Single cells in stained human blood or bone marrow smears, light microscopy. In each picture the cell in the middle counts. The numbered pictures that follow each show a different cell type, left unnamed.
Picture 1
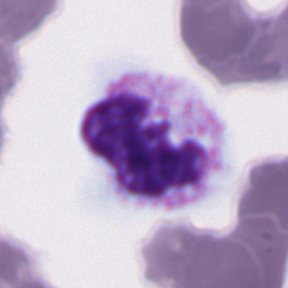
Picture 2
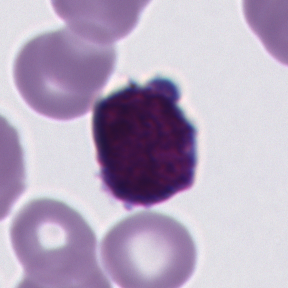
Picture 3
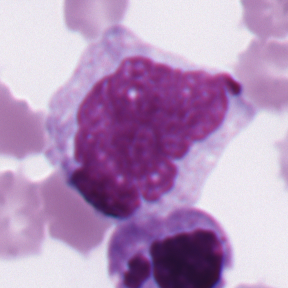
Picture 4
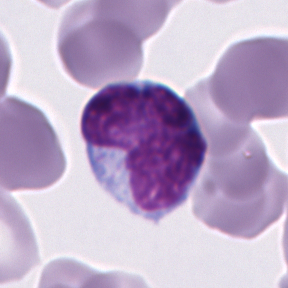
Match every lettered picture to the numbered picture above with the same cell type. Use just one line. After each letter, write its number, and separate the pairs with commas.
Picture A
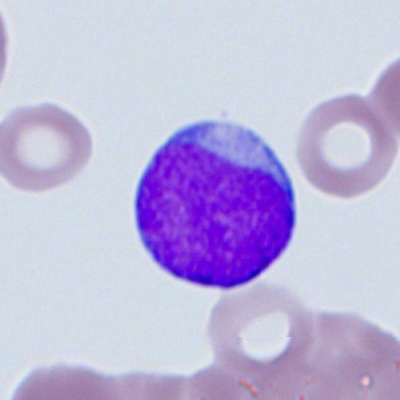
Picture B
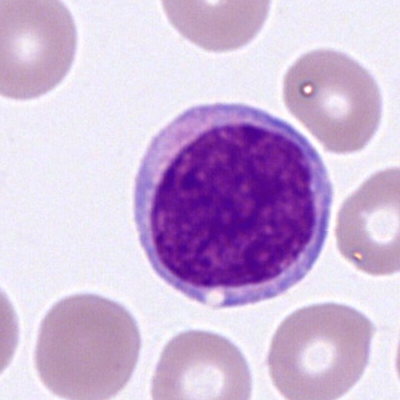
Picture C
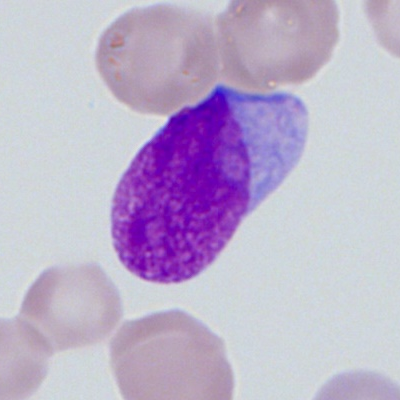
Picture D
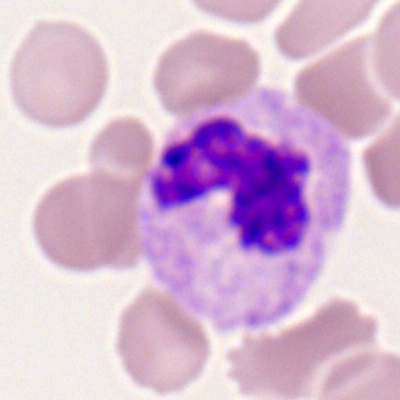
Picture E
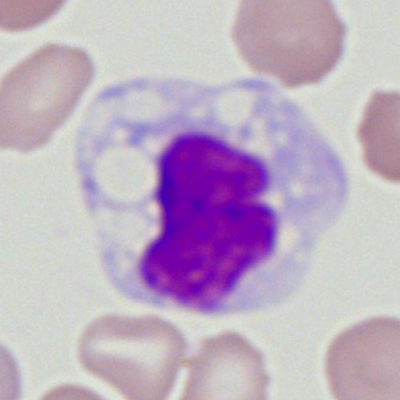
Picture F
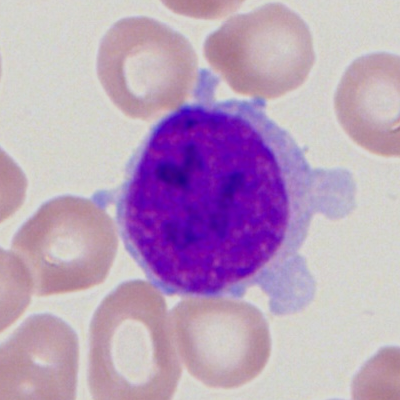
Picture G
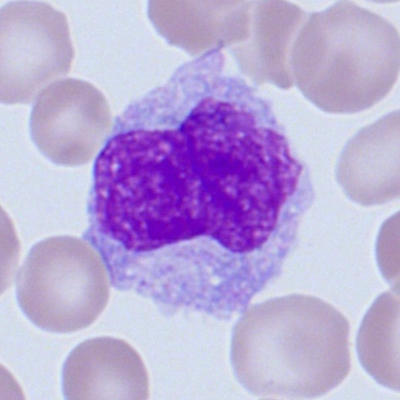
A 2, B 2, C 2, D 1, E 3, F 4, G 3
